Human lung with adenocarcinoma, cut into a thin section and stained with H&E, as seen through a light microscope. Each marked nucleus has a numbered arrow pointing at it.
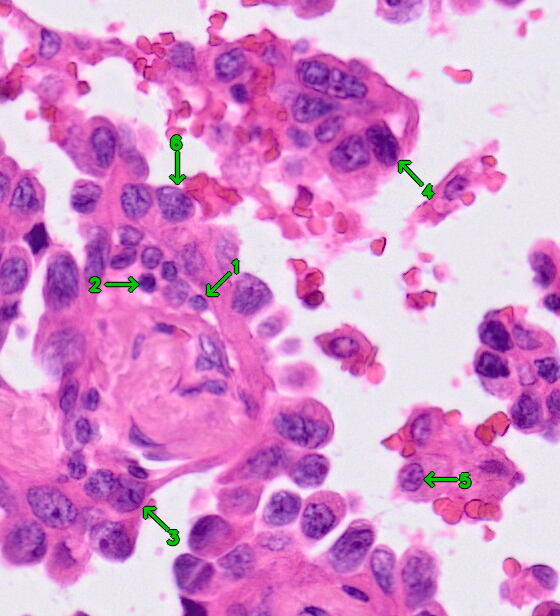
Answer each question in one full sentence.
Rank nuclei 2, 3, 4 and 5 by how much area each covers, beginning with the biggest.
Going from the biggest nucleus down to the smallest gives 4, 3, 5, 2.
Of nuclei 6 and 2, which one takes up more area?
The larger nucleus is 6, at roughly 3 times the area of 2.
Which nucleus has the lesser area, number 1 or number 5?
It is nucleus 1; nucleus 5 has about 2 times its area.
